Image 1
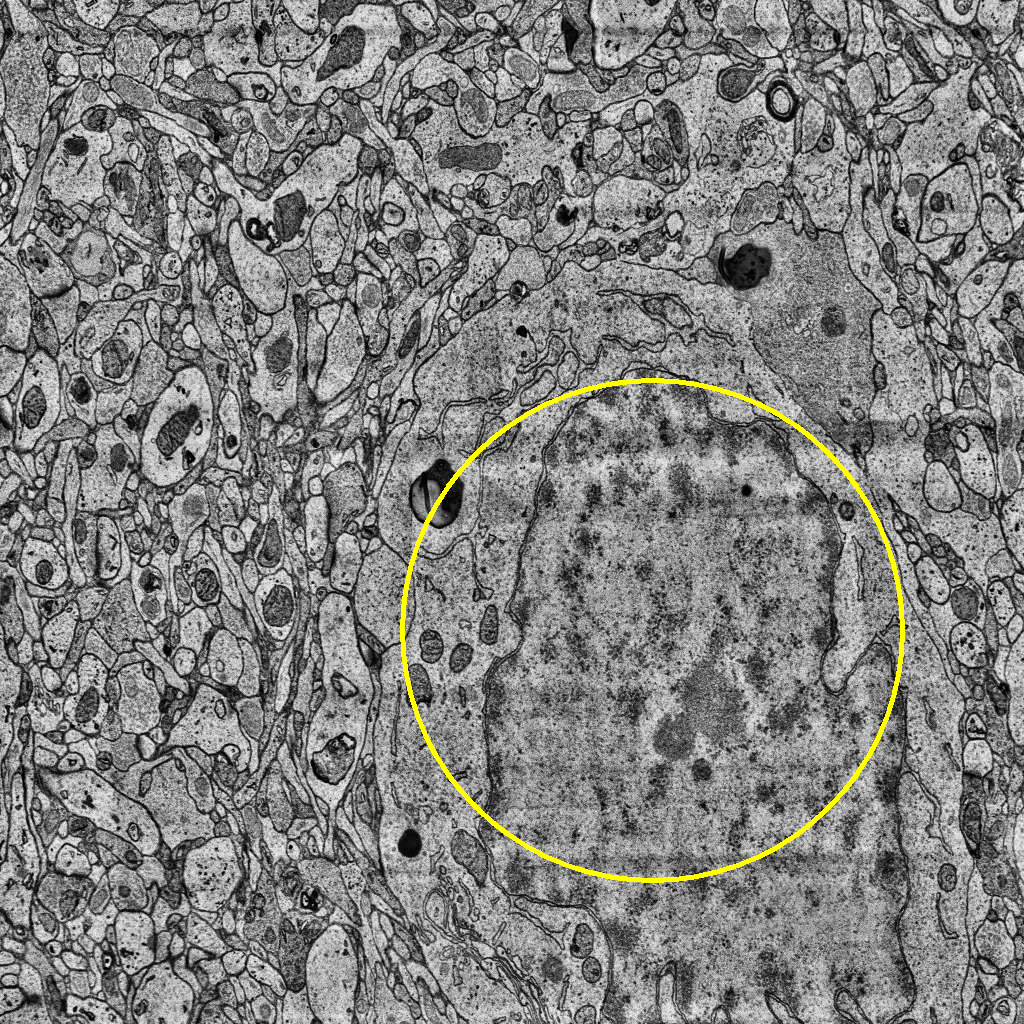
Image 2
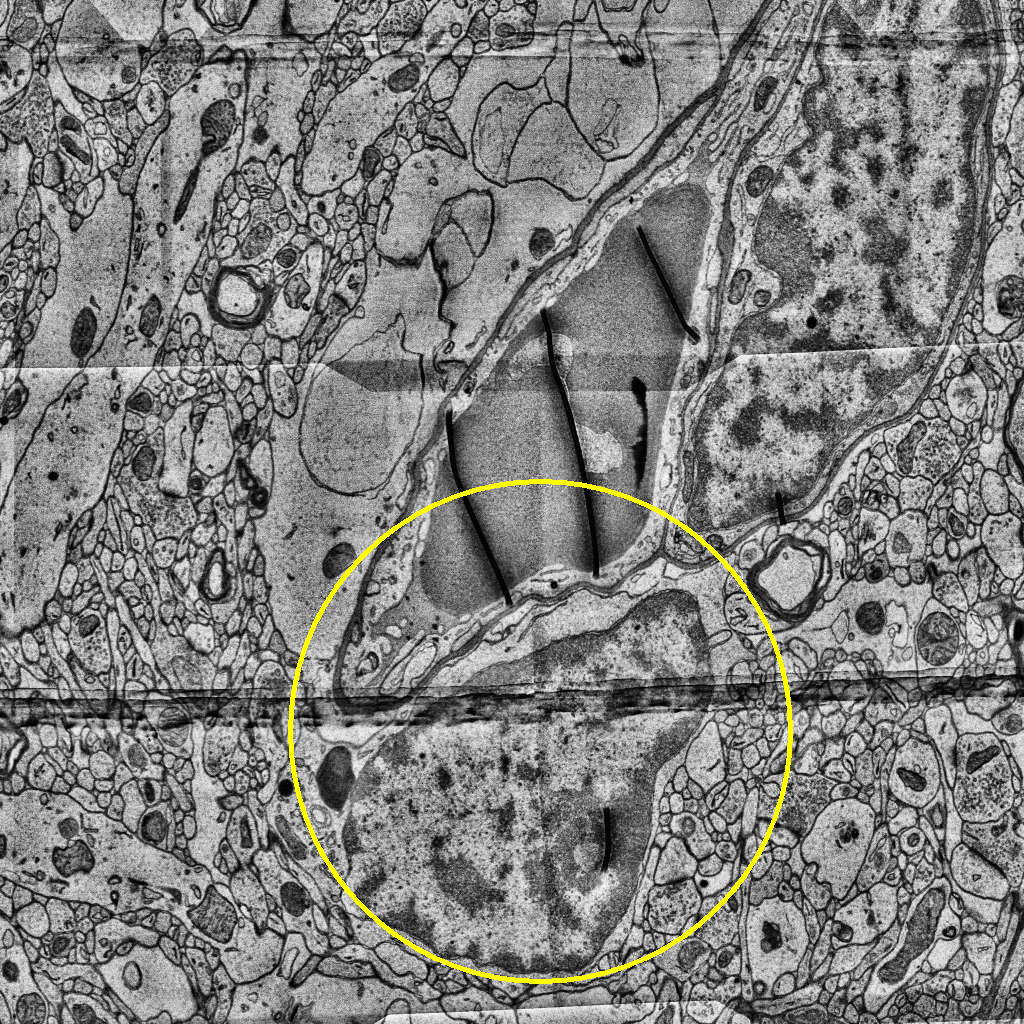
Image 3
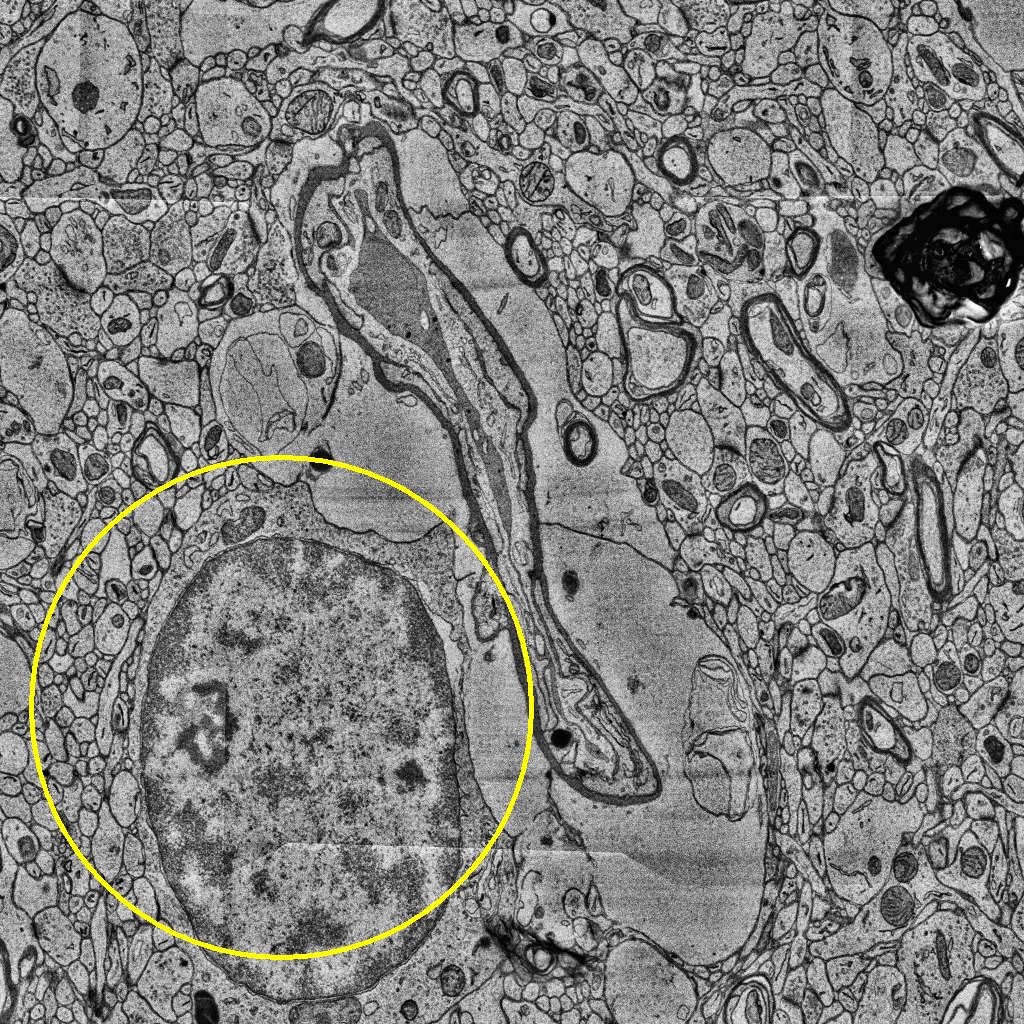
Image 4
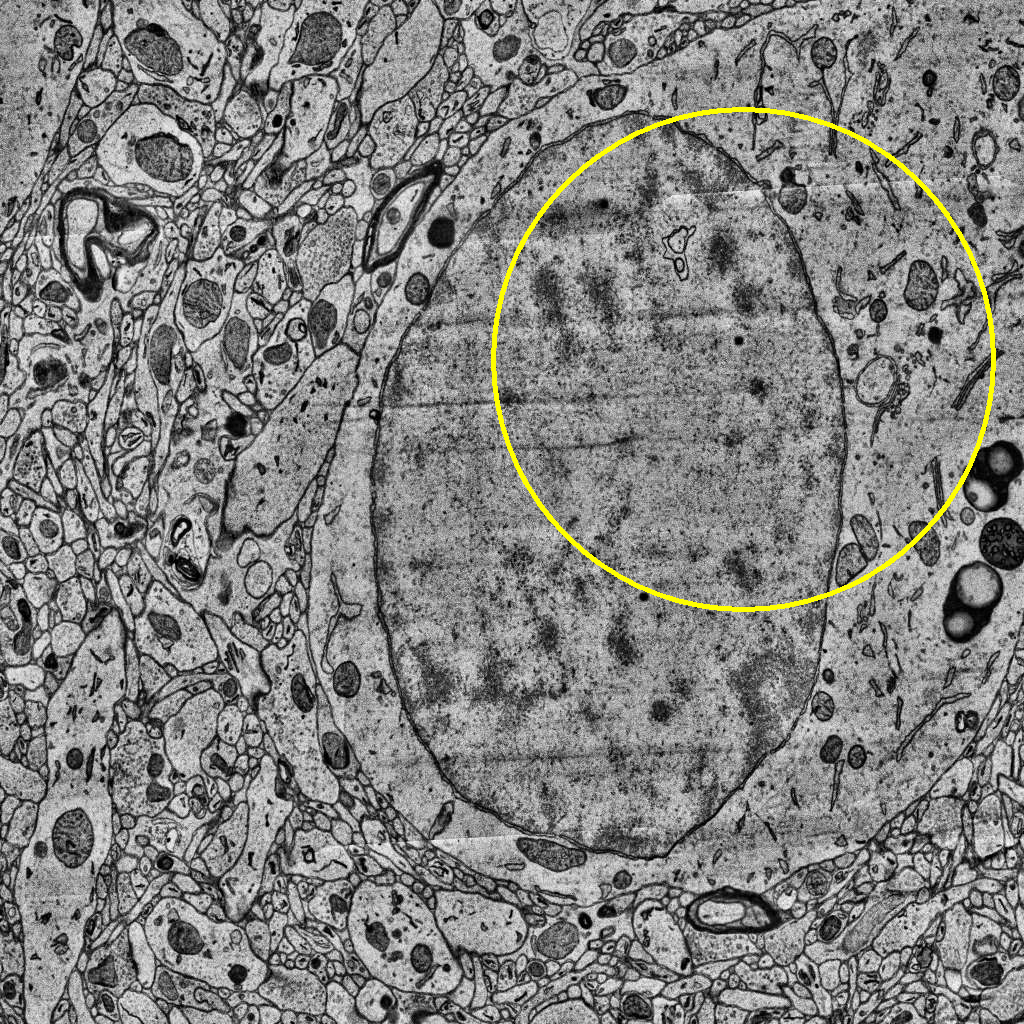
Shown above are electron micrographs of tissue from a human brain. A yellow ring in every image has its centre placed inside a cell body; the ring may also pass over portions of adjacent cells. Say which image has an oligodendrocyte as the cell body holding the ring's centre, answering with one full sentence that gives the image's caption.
The image whose ring has its centre inside the requested cell is Image 3.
